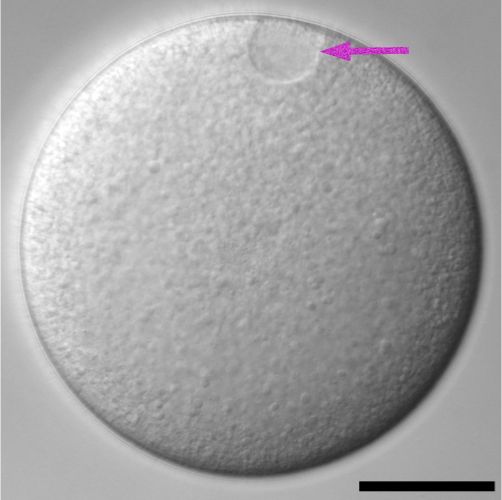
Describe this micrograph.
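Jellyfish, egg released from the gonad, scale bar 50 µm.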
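The cytoplasm is uniformly packed with fine granules, giving an even stippled texture throughout. No cleavage furrows or divisions are visible.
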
